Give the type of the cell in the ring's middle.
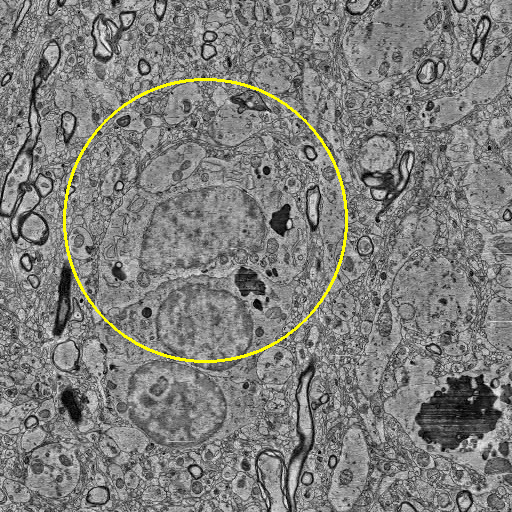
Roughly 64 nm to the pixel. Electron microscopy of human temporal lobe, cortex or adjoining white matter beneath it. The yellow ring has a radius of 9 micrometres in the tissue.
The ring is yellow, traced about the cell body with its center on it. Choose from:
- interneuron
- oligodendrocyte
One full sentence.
Here, an interneuron is the cell lying at the center of the yellow ring.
